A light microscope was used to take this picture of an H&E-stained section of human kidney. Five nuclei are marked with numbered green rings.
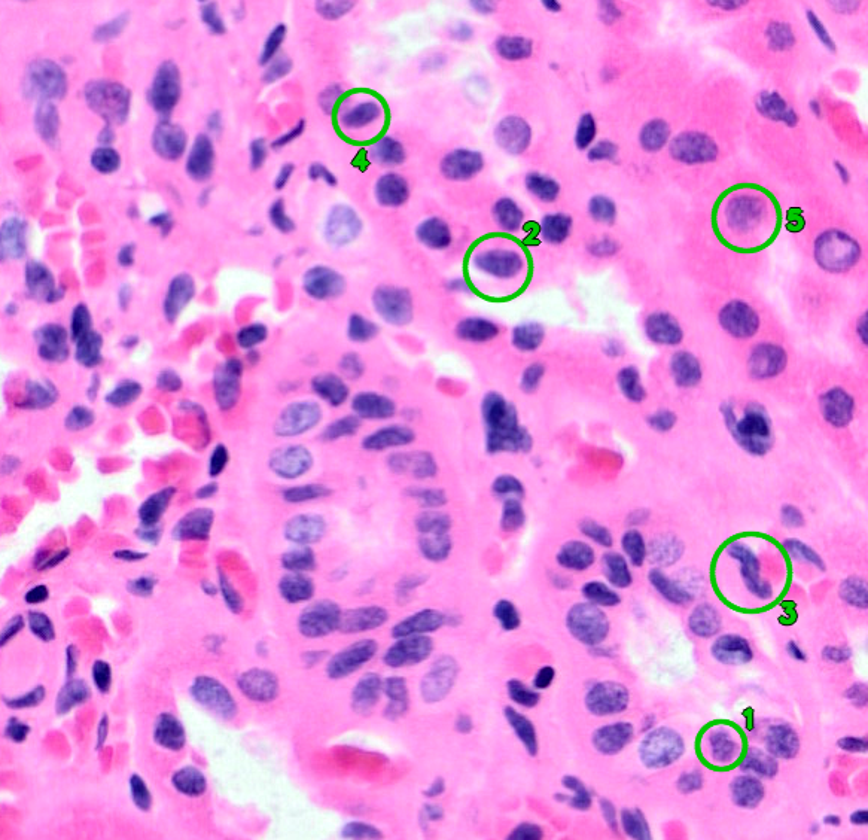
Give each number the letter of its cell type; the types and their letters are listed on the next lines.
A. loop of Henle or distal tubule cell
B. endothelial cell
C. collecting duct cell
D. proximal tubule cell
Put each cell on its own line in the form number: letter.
1: C
2: A
3: B
4: A
5: D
